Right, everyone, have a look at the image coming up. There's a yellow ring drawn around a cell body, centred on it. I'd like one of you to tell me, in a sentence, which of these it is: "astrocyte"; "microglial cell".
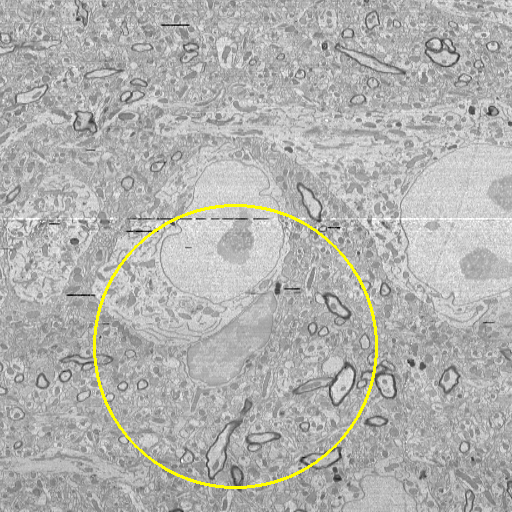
The yellow ring sits on a microglial cell.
